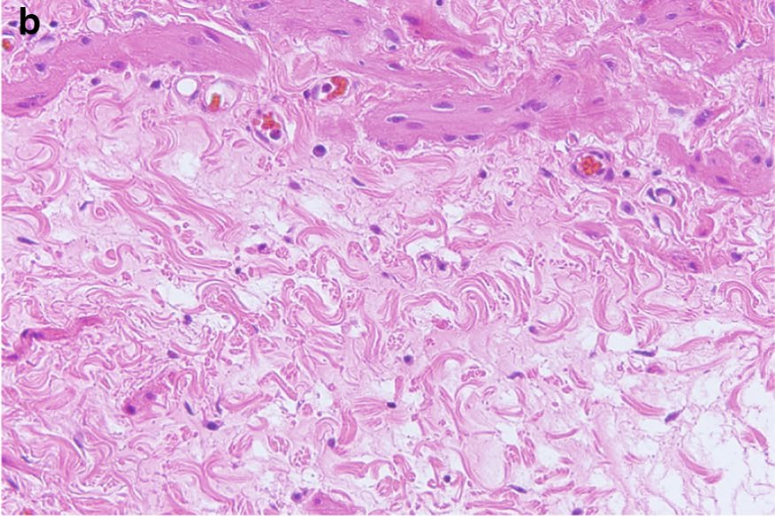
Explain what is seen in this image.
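Loose connective tissue is seen, made of wavy, separated pink collagen fibres with pale spaces between them and scattered small, dark, bland nuclei. Along the top runs a denser eosinophilic band with elongated spindle-shaped nuclei, and beside it lie small capillaries containing red cells. No glands, no lining epithelium and no atypical or crowded nuclei are seen. The picture is of benign fibrovascular stroma, without glandular, endometrial or malignant elements.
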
